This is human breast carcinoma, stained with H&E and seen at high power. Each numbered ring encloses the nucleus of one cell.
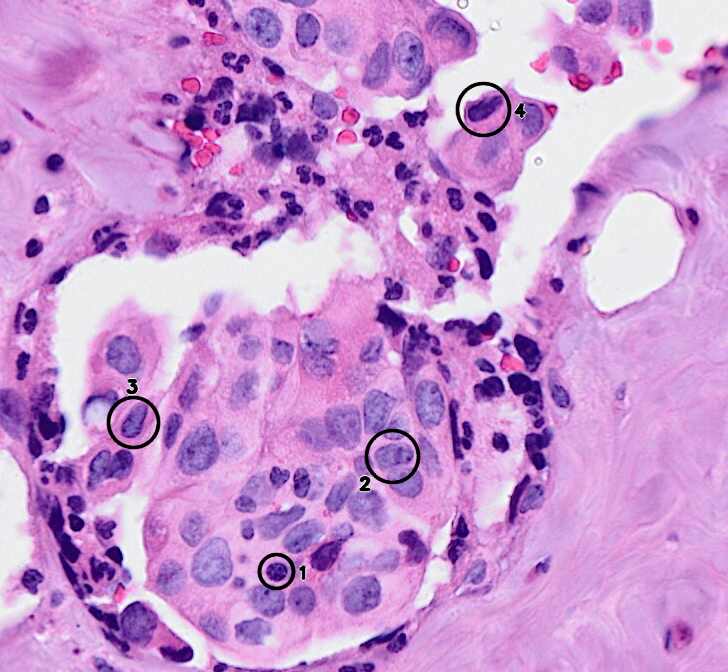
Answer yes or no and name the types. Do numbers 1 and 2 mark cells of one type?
No, cell 1 is a lymphocyte; cell 2 is a carcinoma cell.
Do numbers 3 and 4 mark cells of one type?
Yes, sure, cells 3 and 4 are both carcinoma cells.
